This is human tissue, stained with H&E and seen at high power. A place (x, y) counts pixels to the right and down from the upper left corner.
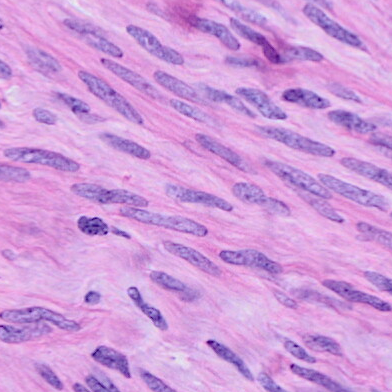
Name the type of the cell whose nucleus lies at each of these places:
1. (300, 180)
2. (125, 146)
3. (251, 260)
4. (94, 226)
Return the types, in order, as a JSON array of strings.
["smooth muscle cell", "smooth muscle cell", "smooth muscle cell", "lymphocyte"]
